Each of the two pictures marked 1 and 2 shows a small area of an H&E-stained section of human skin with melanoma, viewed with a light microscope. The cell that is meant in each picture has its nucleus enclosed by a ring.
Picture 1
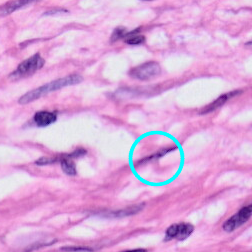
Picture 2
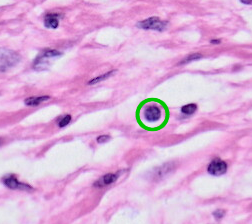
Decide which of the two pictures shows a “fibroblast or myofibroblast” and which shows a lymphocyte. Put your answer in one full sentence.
It is picture 1 that shows a “fibroblast or myofibroblast”, and picture 2 that shows a lymphocyte.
